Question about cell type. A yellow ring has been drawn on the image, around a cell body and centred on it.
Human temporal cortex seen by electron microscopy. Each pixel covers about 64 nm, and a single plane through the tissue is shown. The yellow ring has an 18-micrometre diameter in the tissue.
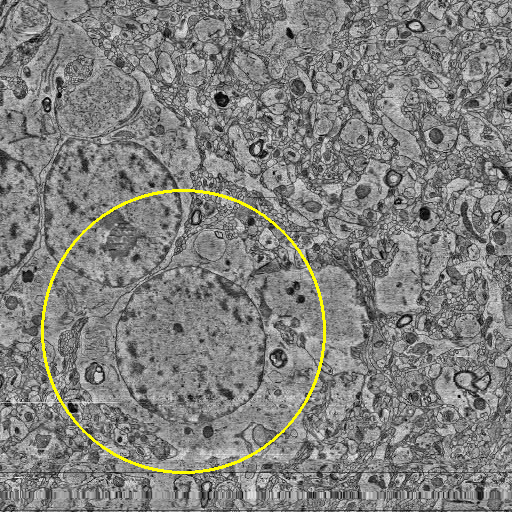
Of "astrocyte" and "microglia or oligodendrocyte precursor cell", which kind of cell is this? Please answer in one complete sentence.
At the centre of the ring lies an astrocyte.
